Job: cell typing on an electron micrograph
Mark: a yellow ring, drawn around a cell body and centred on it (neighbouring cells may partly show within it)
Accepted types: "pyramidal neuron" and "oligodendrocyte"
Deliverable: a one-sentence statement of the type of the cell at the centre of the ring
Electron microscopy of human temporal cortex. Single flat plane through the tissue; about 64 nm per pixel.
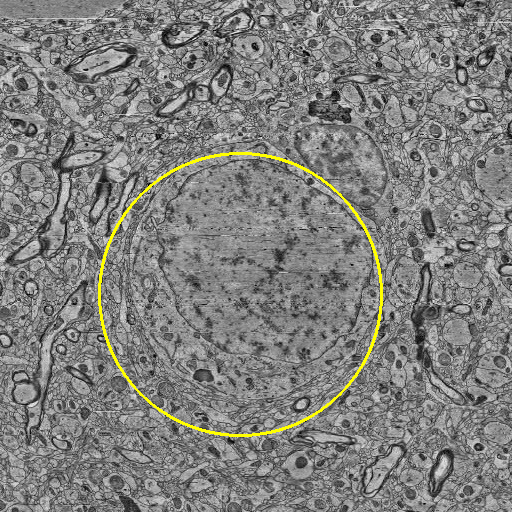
The centred cell body is that of a pyramidal neuron.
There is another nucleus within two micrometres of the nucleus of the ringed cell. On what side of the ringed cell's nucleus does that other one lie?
The other nucleus sits to the upper right of it.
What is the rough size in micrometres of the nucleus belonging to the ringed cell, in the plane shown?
About 14 micrometers across, in this plane.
